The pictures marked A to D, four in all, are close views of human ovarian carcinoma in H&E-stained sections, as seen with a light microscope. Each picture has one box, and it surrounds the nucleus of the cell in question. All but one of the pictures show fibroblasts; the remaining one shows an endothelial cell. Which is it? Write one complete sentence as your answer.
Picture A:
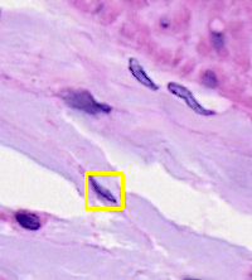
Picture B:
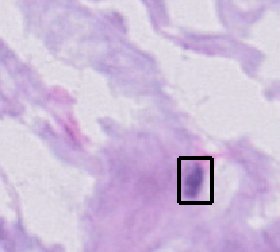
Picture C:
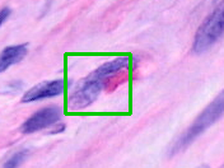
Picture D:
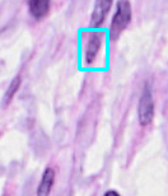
It is picture C that shows the endothelial cell.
